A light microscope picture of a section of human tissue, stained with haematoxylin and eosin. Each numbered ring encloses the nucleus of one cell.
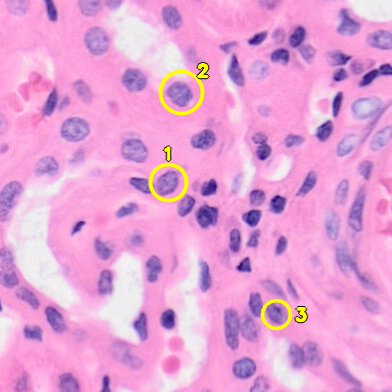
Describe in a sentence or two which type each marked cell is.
Cells 1 and 3 are collecting duct cells. Cell 2 is a loop of Henle or distal tubule cell.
